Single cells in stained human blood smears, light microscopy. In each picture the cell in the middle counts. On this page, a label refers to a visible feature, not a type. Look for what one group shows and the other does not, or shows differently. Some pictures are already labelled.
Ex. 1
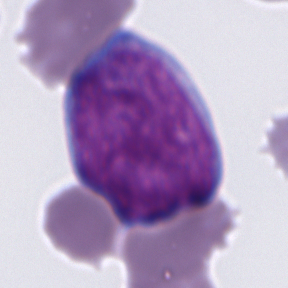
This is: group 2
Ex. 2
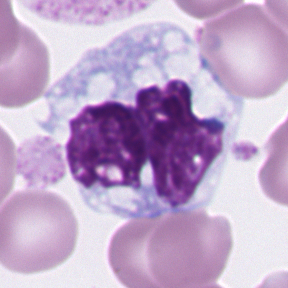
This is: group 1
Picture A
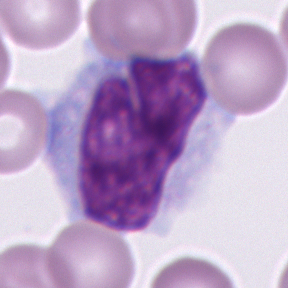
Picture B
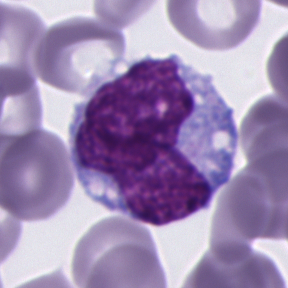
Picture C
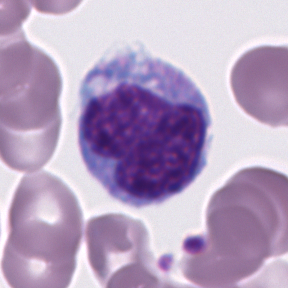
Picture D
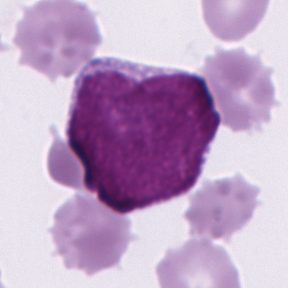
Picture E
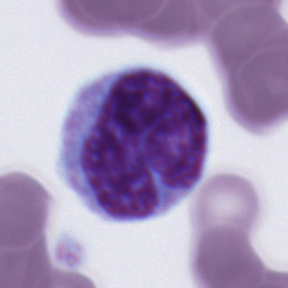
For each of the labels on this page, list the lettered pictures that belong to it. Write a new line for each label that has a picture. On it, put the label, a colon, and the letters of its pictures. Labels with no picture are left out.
group 2: A, D, E
group 1: B, C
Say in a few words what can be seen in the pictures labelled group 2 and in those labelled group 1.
In group 2: no vacuoles. In group 1: vacuoles present.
